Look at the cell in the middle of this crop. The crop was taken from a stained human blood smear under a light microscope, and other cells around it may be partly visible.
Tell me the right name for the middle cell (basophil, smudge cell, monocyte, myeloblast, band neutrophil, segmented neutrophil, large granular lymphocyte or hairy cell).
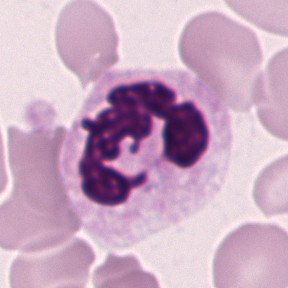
segmented neutrophil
